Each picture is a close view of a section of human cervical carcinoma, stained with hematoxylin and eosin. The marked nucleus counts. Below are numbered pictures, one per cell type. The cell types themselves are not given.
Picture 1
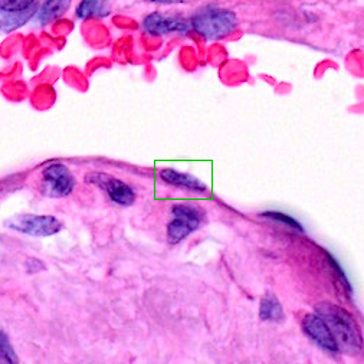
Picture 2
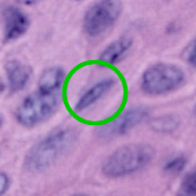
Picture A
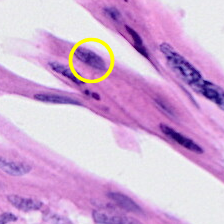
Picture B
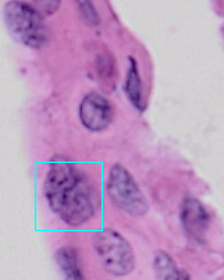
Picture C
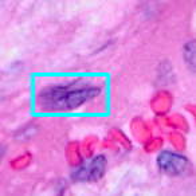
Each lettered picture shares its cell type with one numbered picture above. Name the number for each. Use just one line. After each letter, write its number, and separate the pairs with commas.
A 2, B 2, C 1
